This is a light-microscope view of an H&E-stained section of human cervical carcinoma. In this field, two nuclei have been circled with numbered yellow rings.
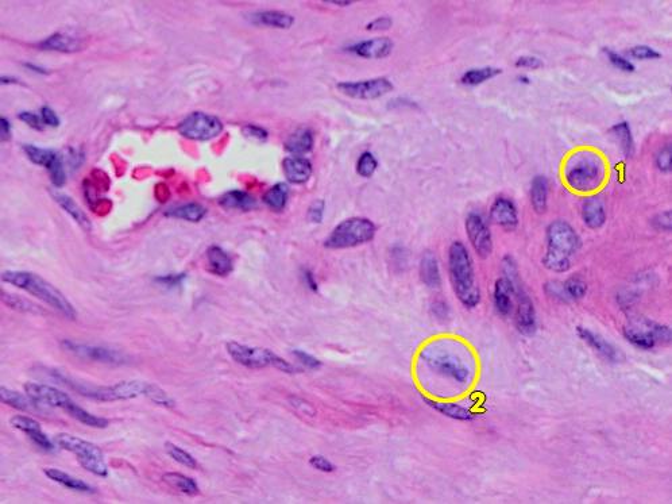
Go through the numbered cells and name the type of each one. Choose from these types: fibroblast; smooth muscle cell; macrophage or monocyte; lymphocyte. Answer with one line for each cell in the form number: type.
1: smooth muscle cell
2: fibroblast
